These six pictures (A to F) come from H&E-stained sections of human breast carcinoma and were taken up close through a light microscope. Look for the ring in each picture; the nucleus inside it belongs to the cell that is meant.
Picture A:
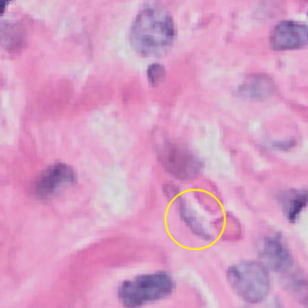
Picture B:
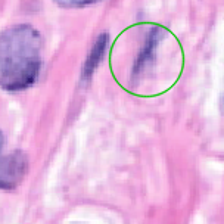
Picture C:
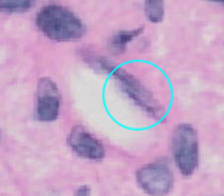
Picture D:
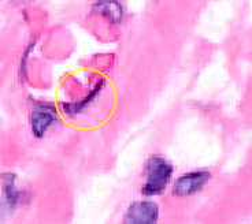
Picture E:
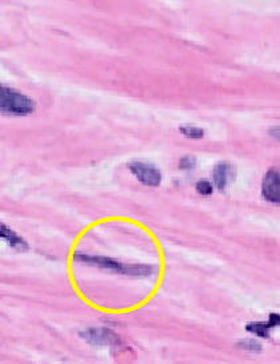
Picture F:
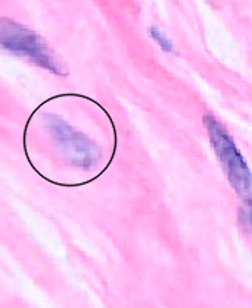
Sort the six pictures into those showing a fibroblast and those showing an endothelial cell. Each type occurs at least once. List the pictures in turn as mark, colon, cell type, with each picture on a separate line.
A: endothelial cell
B: fibroblast
C: endothelial cell
D: endothelial cell
E: fibroblast
F: fibroblast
